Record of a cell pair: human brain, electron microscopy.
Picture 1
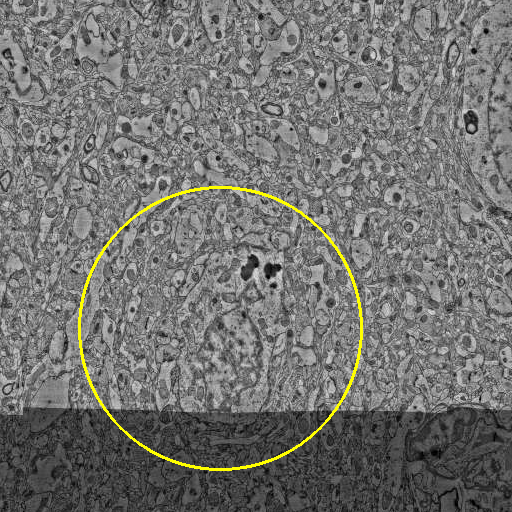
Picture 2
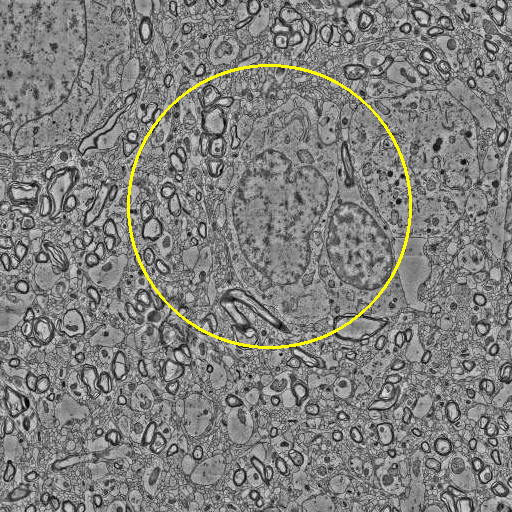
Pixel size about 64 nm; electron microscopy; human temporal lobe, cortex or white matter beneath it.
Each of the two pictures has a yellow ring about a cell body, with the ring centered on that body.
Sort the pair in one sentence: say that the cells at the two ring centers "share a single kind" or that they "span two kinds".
The cells centered in the rings of Pictures 1 and 2 share a single kind.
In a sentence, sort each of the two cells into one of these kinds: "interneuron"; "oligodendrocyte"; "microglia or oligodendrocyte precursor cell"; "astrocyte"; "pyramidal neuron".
Each of the two rings surrounds an interneuron.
